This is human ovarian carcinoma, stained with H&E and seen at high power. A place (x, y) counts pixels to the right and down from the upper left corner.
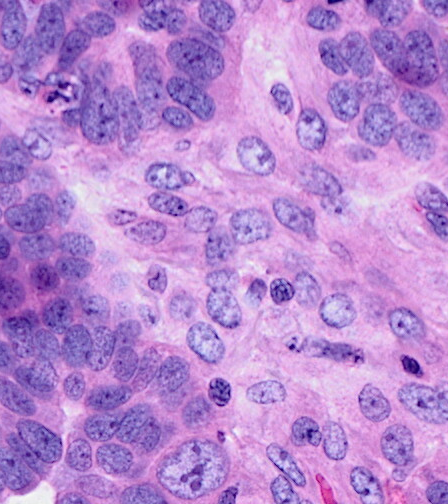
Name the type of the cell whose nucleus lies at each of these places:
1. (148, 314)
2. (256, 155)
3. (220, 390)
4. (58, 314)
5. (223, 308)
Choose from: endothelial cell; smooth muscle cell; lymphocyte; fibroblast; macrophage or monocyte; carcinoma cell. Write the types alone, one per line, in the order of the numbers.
macrophage or monocyte
fibroblast
lymphocyte
carcinoma cell
fibroblast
